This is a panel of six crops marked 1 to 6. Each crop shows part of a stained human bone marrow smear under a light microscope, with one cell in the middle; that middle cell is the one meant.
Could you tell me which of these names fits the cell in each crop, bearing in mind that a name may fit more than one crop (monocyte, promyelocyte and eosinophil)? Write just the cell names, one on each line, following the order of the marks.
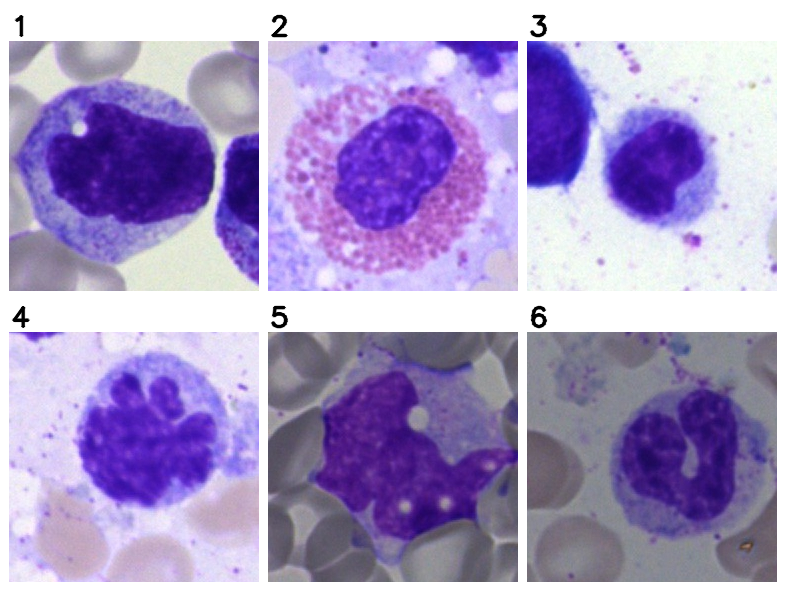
monocyte
eosinophil
monocyte
monocyte
monocyte
monocyte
